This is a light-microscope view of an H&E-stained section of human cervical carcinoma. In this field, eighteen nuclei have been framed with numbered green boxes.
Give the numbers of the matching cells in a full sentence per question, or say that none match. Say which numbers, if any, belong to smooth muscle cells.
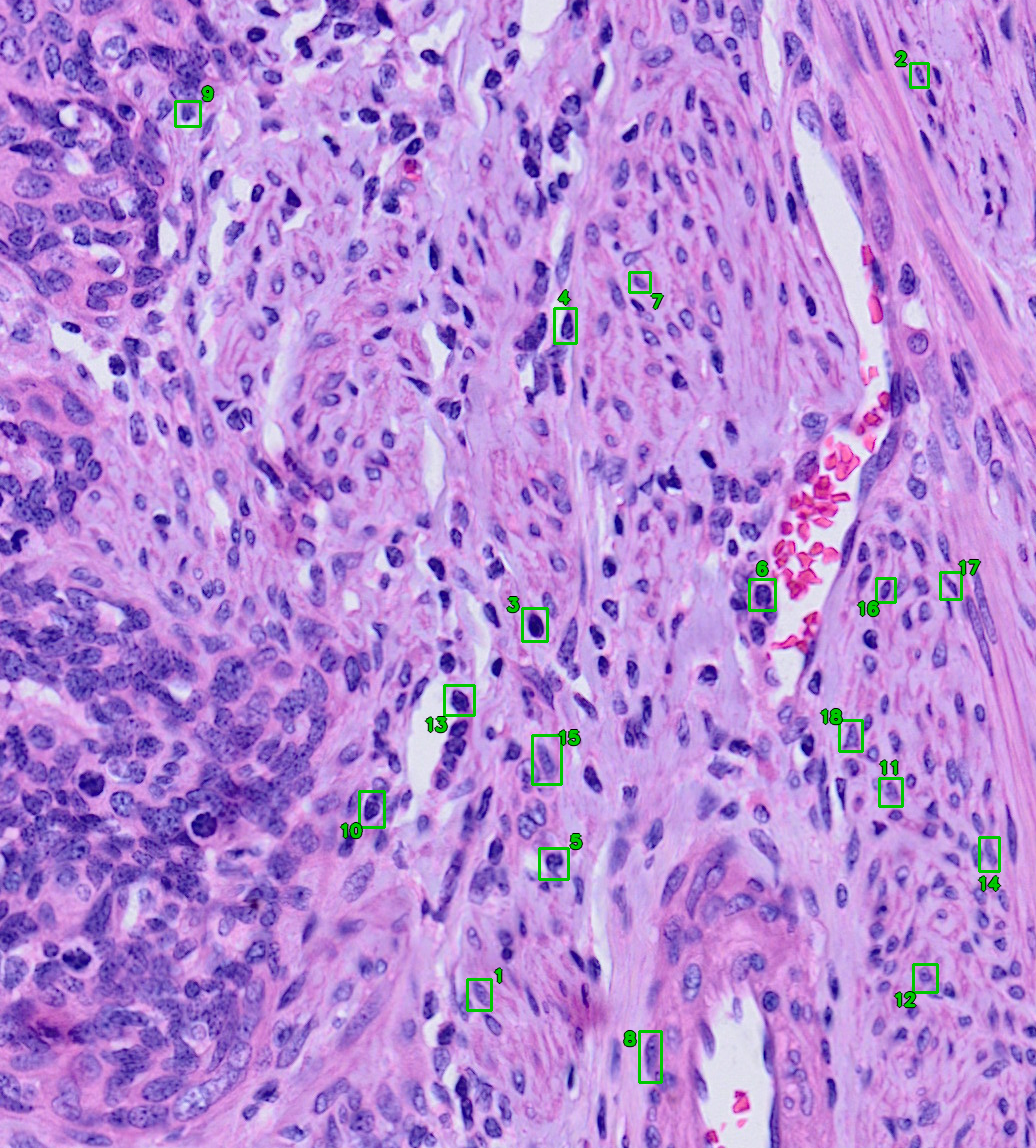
The numbers 1, 2, 7, 8, 11, 12, 14, 16, 17 and 18 mark cells that are smooth muscle cells.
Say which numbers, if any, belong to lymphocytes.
Cells 3, 4, 5, 6, 9, 10 and 13 are classified as lymphocytes.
